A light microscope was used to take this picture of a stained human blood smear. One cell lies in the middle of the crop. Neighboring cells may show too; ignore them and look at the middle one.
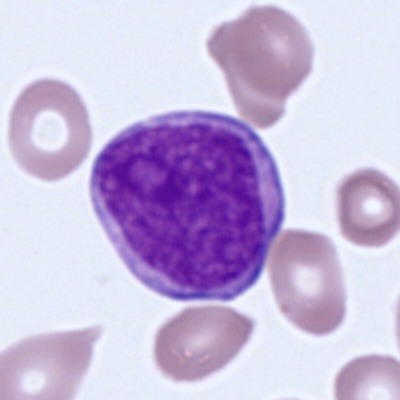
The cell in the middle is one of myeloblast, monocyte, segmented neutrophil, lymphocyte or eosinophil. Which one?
myeloblast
